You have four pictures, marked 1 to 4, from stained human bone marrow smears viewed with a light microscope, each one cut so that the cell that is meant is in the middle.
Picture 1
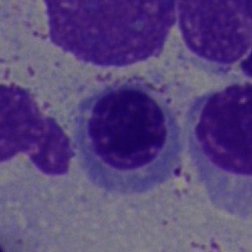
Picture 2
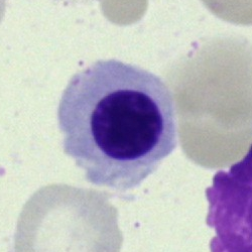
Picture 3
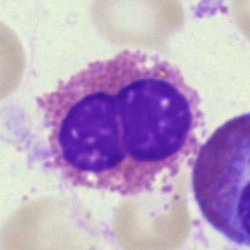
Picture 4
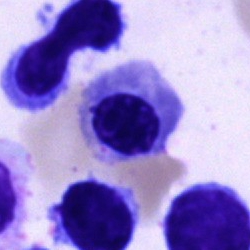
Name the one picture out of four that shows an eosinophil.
3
